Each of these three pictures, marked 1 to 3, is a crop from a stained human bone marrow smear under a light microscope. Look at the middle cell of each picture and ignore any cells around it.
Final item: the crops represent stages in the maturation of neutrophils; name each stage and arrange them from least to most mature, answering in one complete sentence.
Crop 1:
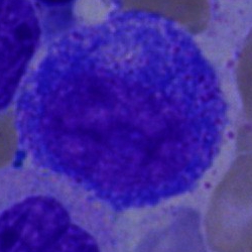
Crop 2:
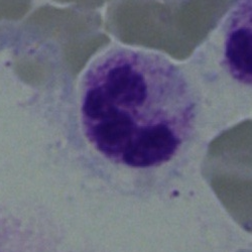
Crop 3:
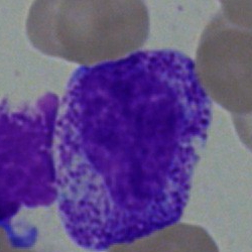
In terms of maturity, from lowest to highest, the order reads crop 1 (a promyelocyte), crop 3 (a myelocyte) and crop 2 (a segmented neutrophil).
